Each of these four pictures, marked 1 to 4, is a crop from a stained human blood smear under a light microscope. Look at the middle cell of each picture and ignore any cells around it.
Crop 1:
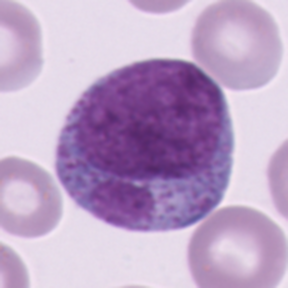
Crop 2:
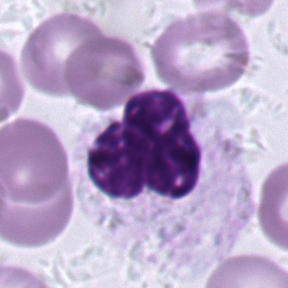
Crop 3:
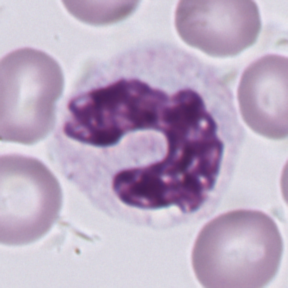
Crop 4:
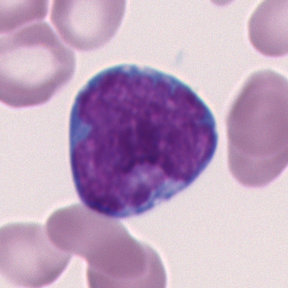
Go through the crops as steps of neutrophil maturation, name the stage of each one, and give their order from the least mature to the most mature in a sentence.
The maturity ranking, beginning with the least mature, is crop 4 (a myeloblast), crop 1 (a promyelocyte), crop 3 (a band neutrophil) and crop 2 (a segmented neutrophil).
